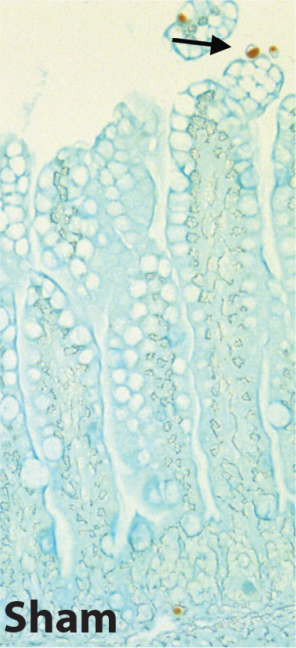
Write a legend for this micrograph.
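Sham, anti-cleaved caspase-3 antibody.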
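This is small intestinal mucosa cut lengthwise, showing several long slender villi rising from the base. Each villus is covered by a single layer of columnar epithelium containing many pale, rounded, vacuole-like cells, around a narrow core of loose connective tissue. The tissue is counterstained pale blue-green and nearly all of it is free of brown stain. At the tip of one villus, marked by an arrow, a few small, dense, brown-stained bodies lie among cells that are shedding from the surface. A single brown cell is also seen low in the mucosa near the base.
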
